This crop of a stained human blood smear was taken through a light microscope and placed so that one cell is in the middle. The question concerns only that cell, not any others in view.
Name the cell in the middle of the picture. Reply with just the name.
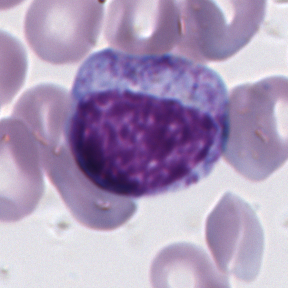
myelocyte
